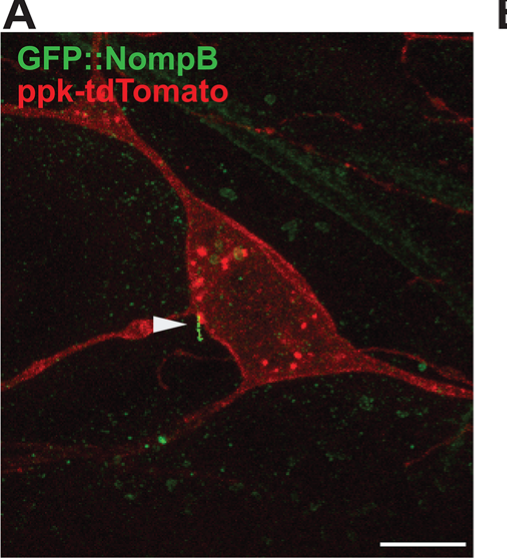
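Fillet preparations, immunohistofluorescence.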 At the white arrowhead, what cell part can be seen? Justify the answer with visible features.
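Primary cilium. A short, thin green linear structure lies at the tip of the arrowhead. It sits where a process leaves the red cell body.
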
